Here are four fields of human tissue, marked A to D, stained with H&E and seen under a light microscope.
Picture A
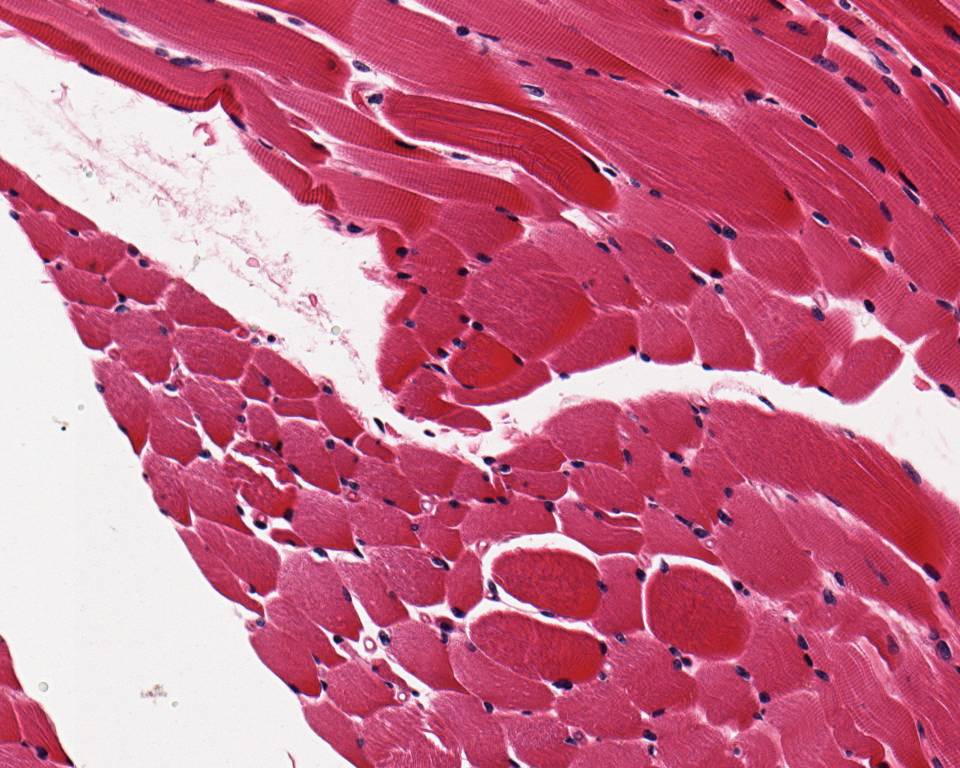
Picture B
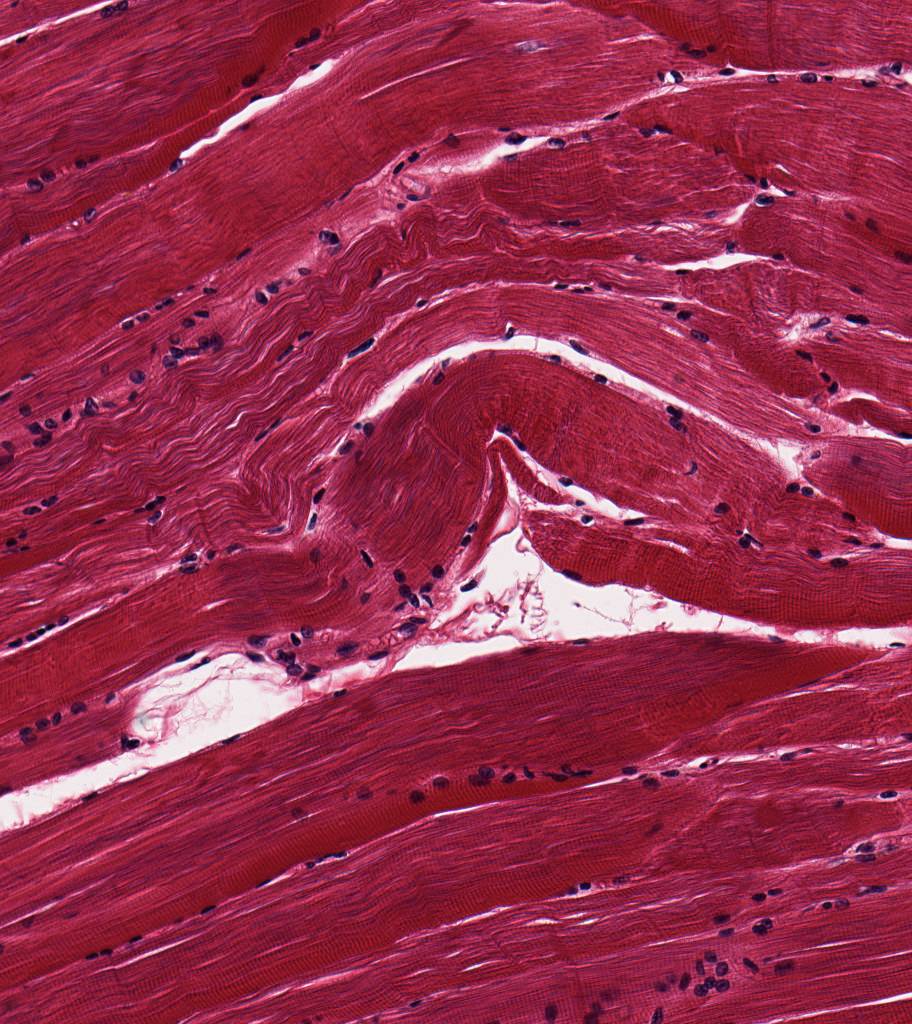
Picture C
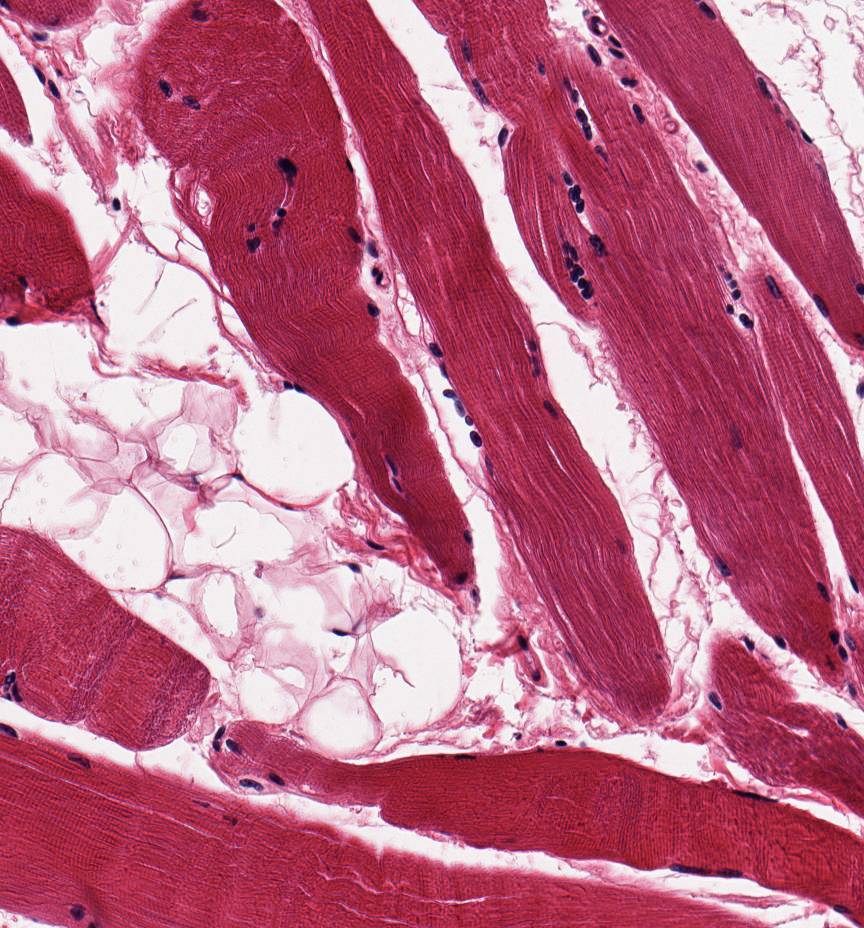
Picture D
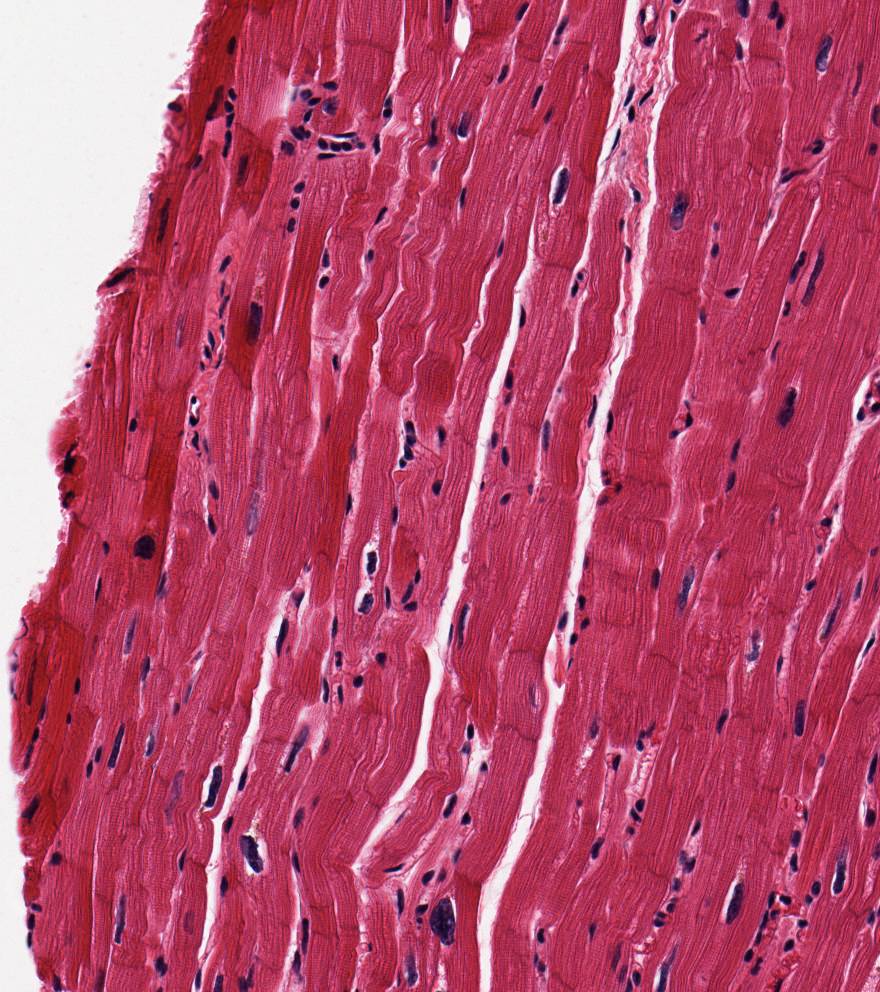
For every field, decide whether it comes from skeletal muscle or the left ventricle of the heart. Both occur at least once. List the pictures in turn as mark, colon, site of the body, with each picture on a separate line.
A: skeletal muscle
B: skeletal muscle
C: skeletal muscle
D: left ventricle of the heart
